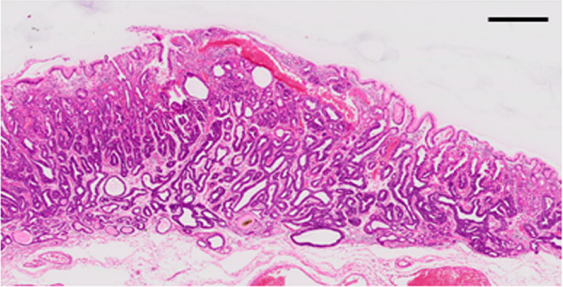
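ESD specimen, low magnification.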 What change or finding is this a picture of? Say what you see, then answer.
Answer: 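Irregularly shaped neoplastic glands. Glands of varying size and angulated, branching outlines are packed together. Some glands are dilated into rounded spaces.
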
